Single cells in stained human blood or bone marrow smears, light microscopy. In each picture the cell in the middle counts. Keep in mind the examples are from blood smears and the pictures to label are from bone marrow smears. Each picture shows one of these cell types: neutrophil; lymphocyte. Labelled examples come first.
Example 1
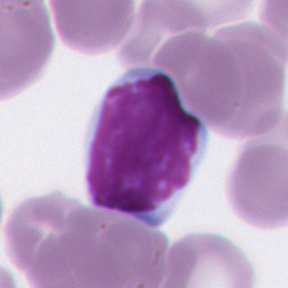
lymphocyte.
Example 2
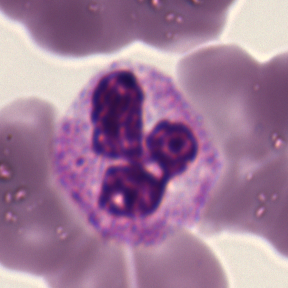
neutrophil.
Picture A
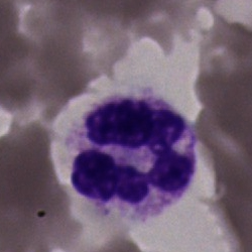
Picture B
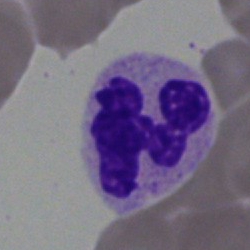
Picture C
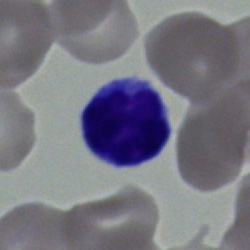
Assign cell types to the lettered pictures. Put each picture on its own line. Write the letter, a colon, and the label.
A: neutrophil.
B: neutrophil.
C: lymphocyte.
